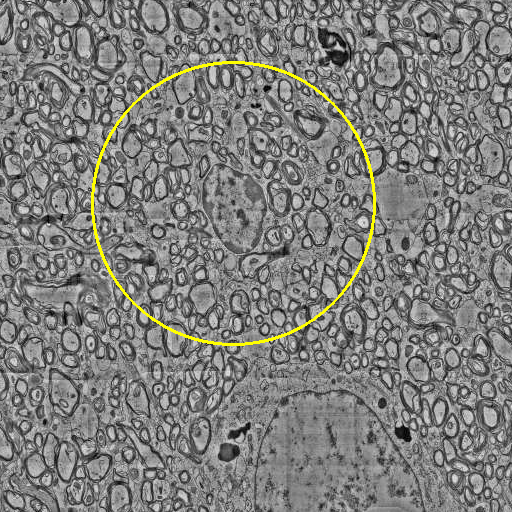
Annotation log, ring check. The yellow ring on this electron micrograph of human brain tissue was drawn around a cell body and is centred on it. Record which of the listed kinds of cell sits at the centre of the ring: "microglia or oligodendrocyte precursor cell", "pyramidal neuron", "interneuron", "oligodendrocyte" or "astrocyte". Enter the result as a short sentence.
The cell at the centre of the ring is a microglial cell or oligodendrocyte precursor cell.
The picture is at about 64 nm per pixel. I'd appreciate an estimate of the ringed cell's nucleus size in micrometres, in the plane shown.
Approximately 6 micrometres long and 4 micrometres wide, so clearly longer than it is wide in this plane.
